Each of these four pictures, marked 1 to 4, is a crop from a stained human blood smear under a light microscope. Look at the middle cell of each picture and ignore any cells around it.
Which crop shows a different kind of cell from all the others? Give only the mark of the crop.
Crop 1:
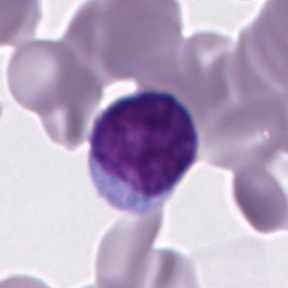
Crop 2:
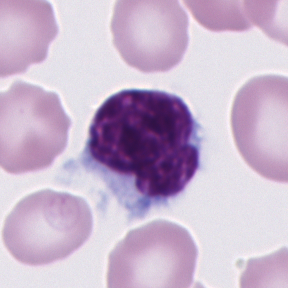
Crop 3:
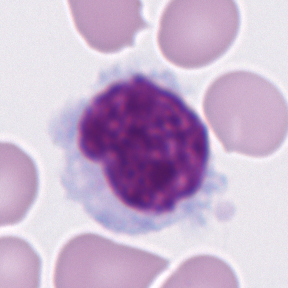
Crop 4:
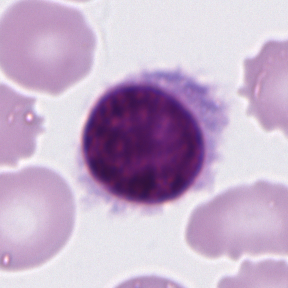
1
